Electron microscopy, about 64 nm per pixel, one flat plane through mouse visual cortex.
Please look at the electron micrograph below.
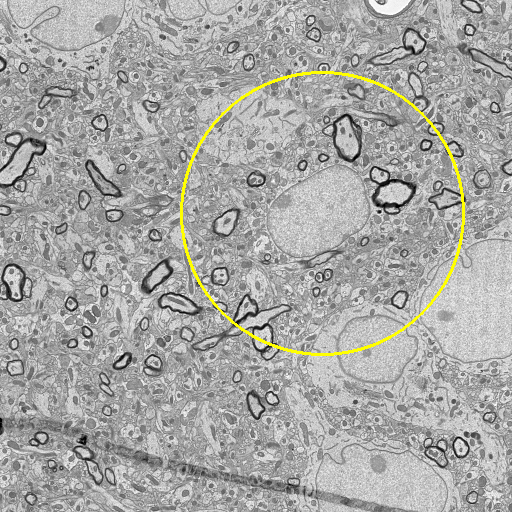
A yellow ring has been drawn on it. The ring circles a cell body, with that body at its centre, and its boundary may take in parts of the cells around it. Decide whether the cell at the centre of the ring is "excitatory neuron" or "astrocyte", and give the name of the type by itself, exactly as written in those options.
astrocyte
